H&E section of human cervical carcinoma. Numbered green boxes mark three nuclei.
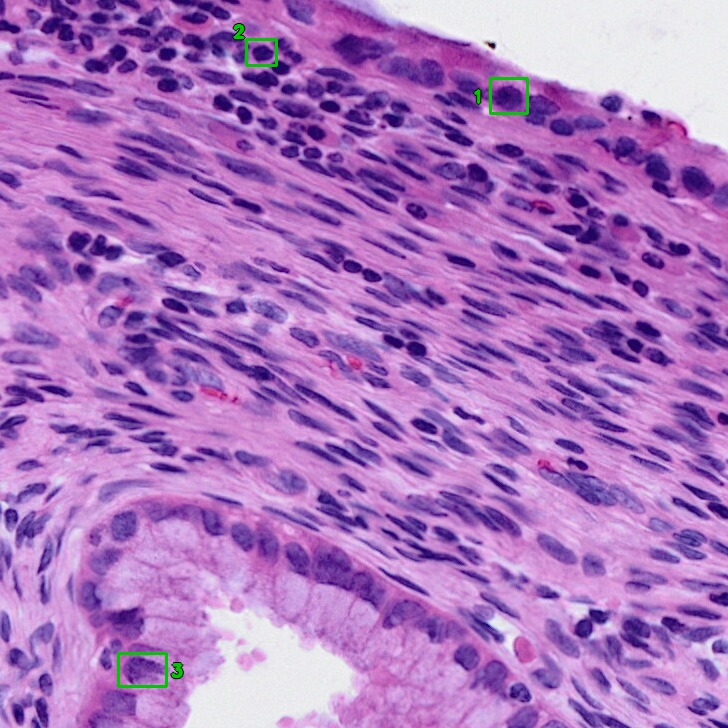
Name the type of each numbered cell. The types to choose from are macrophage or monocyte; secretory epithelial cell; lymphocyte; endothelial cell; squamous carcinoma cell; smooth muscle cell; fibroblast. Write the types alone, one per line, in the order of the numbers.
secretory epithelial cell
lymphocyte
secretory epithelial cell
